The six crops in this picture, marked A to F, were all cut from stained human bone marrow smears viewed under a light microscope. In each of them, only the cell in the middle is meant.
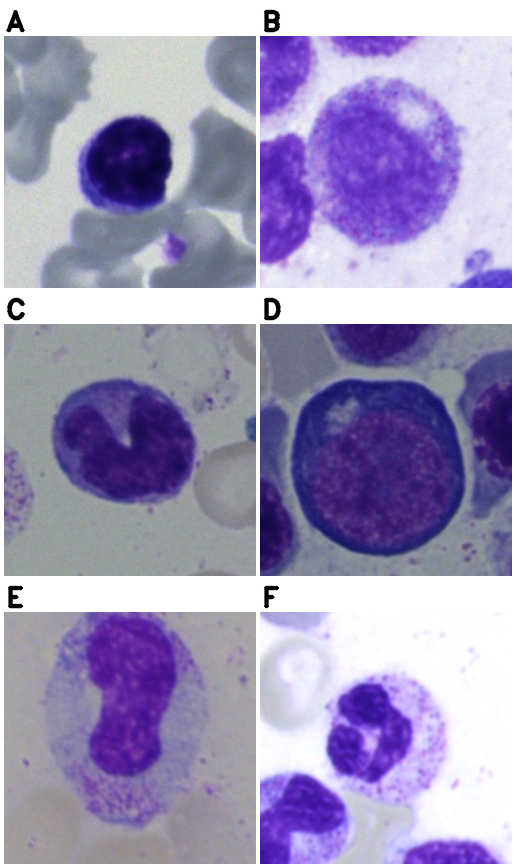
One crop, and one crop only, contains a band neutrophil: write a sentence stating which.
On review of the set, crop E is the one showing a band neutrophil.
